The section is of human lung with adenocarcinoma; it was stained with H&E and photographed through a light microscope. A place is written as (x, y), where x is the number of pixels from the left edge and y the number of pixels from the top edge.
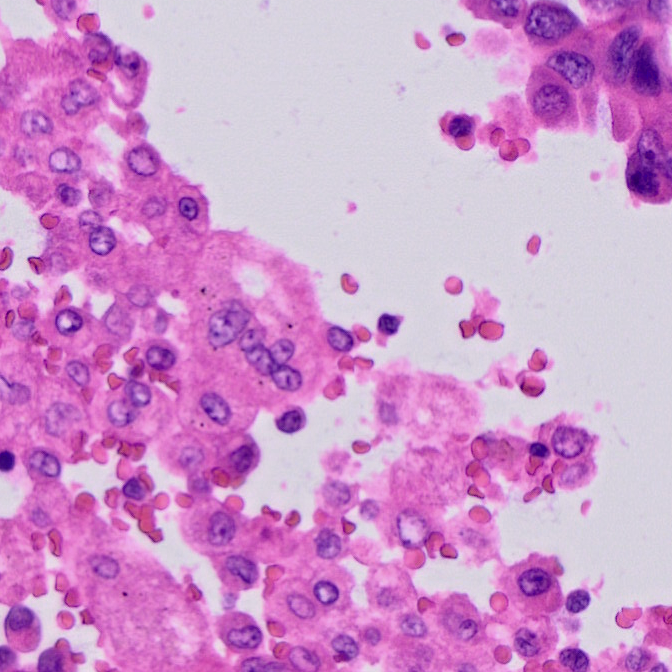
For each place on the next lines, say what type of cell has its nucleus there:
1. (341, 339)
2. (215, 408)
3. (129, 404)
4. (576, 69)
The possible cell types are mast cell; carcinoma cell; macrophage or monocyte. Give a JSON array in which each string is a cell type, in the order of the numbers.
["macrophage or monocyte", "macrophage or monocyte", "macrophage or monocyte", "carcinoma cell"]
